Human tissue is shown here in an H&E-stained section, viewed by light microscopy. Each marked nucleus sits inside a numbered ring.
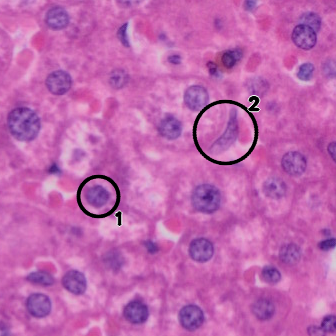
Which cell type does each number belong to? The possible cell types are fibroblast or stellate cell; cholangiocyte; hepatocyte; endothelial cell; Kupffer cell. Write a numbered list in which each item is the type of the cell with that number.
1. hepatocyte
2. Kupffer cell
